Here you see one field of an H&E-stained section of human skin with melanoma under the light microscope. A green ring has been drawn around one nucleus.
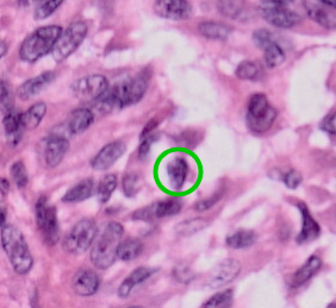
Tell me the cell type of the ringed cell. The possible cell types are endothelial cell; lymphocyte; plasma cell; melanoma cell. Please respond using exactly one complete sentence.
The cell type represented by the ringed cell is that of a melanoma cell.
